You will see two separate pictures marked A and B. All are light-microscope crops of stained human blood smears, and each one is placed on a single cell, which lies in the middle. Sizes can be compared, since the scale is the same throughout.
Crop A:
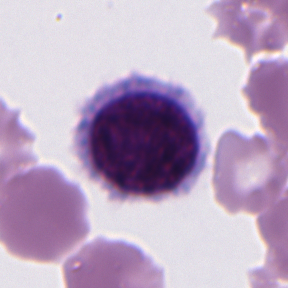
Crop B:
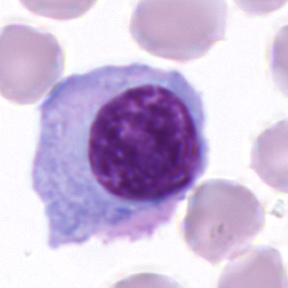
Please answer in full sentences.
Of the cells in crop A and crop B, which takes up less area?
The cell in crop A is smaller; the one in crop B has about 2 times its area.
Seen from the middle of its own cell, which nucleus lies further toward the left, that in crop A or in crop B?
In crop A the nucleus is shifted more toward the left.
